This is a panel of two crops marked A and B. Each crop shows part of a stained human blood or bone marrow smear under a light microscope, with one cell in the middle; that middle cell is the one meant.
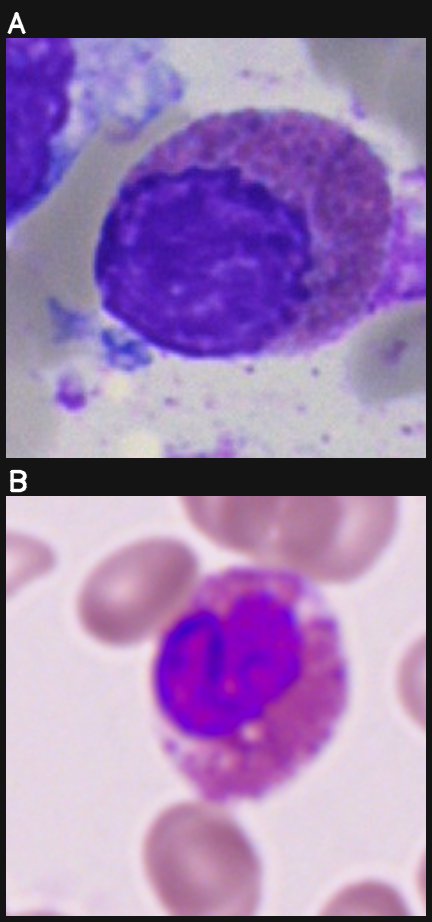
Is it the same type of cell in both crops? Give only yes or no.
yes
